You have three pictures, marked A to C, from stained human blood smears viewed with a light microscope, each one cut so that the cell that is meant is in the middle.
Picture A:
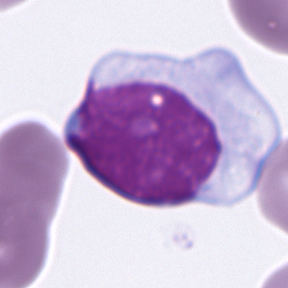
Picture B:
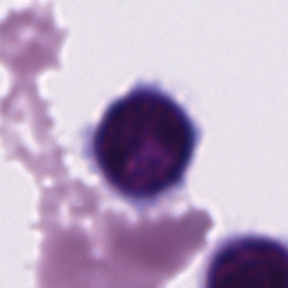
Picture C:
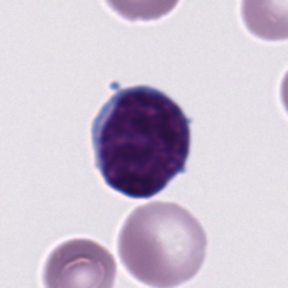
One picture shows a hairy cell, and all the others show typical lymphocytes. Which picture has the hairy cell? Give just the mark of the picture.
B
